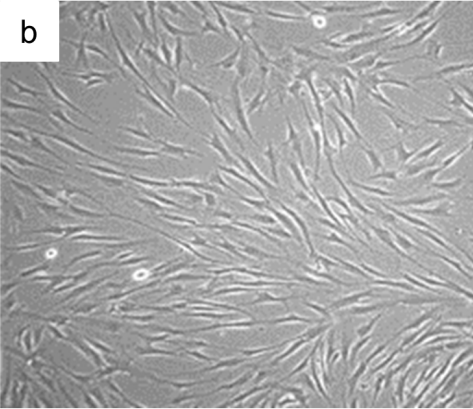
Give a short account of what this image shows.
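A dense culture of flat, fibroblast-like cells is seen growing on a dish. The cells are long and spindle-shaped with tapering ends and lie side by side in parallel streams that curve into whorls. Only a few small, round, bright cells are scattered over the layer.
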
